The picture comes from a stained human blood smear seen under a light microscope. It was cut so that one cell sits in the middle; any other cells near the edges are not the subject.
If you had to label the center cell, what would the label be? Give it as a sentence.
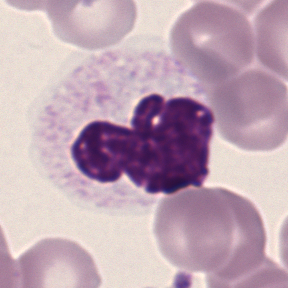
The cell found in the middle of this crop is a segmented neutrophil.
